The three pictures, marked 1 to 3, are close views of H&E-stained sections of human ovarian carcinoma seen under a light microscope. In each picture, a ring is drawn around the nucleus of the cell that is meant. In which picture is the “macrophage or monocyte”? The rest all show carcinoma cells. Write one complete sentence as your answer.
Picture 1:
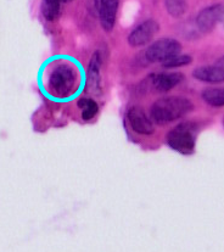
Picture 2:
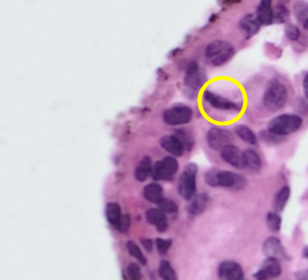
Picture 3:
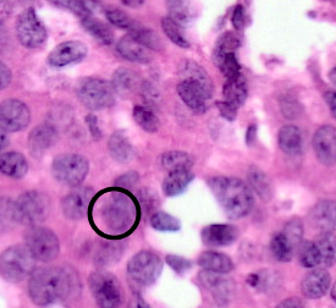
The “macrophage or monocyte” is the one in picture 2.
